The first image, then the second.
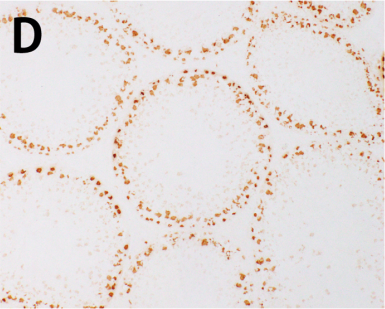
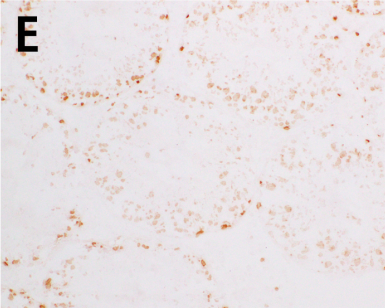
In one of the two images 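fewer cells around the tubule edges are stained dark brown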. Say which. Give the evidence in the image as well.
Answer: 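Second image: brown-stained nuclei are pale and scattered, with tubule outlines barely traced. First image: dense dark brown nuclei form continuous rings along the edges of the tubules.
Conclusion: the second image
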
